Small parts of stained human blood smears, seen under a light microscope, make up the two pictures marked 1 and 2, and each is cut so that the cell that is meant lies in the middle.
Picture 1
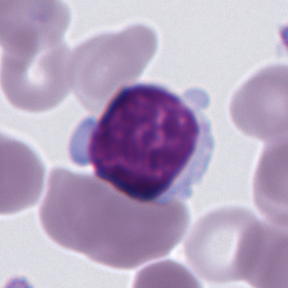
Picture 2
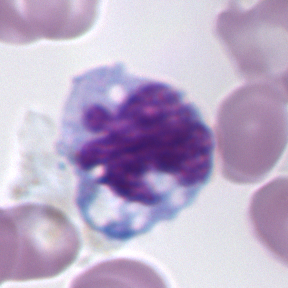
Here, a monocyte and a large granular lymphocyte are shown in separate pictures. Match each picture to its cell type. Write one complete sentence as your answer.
The cell in picture 1 is a large granular lymphocyte, and the one in picture 2 is a monocyte.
